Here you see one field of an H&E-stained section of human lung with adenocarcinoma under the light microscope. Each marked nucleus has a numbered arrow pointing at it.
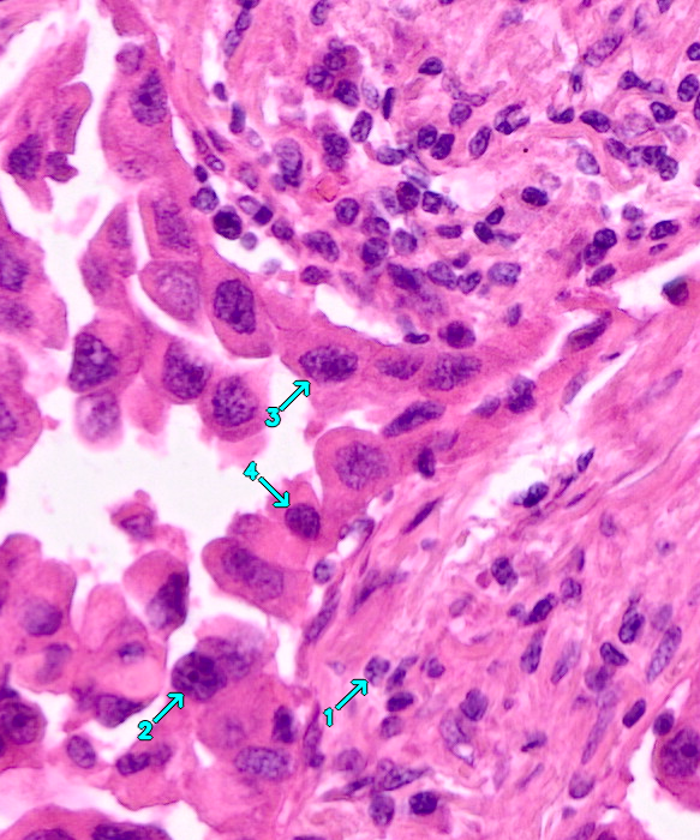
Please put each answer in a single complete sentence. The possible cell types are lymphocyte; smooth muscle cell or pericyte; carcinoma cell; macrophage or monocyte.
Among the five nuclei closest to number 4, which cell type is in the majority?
Most of the five nuclei nearest to number 4 are those of carcinoma cells.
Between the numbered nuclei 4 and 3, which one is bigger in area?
Nucleus 3 is the larger one, covering about 2 times the area of nucleus 4.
